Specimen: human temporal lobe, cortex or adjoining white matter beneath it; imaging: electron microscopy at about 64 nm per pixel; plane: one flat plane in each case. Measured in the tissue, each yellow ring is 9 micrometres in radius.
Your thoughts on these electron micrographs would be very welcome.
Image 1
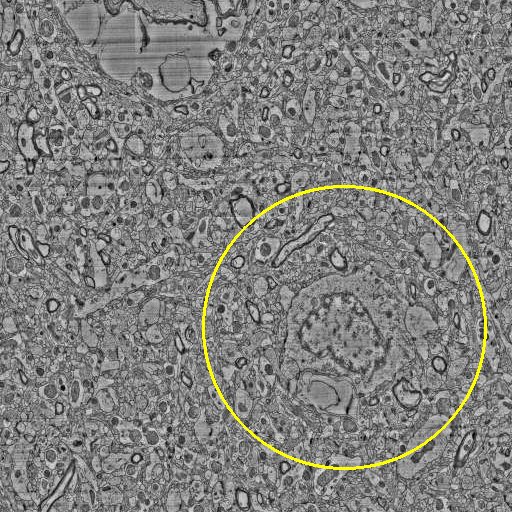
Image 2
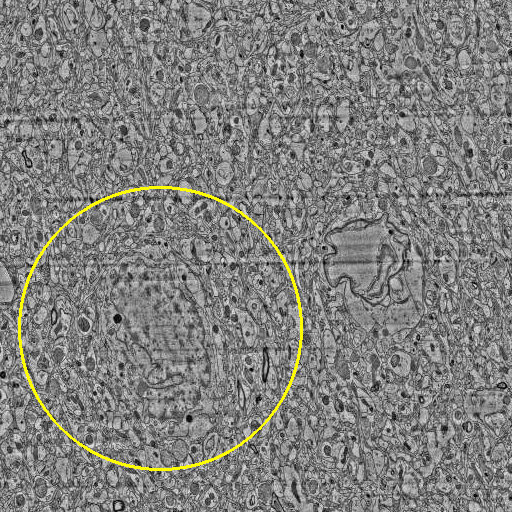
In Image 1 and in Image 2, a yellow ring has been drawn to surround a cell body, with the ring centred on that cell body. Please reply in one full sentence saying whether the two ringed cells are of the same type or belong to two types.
The ringed cells in Image 1 and Image 2 are of the same type.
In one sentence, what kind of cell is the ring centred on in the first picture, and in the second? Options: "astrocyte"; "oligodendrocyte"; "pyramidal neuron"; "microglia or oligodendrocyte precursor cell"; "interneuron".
In each of the two pictures, the ringed cell is an interneuron.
